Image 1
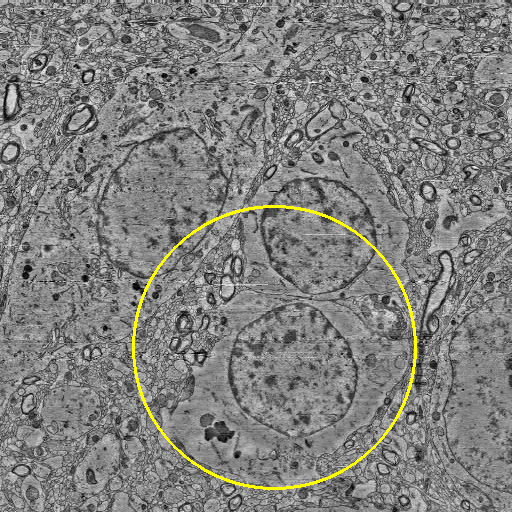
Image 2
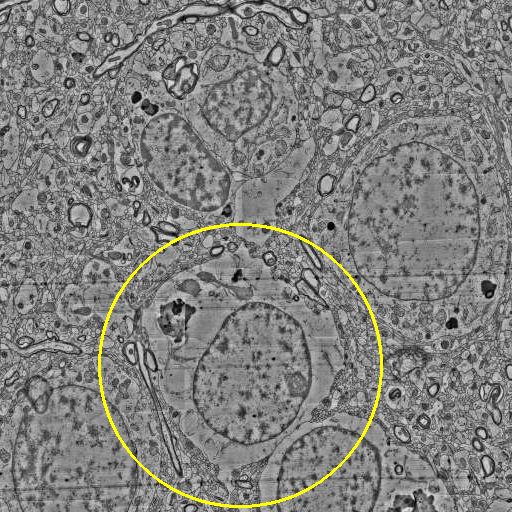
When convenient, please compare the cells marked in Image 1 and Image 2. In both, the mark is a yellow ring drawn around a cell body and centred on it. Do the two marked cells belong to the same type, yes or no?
yes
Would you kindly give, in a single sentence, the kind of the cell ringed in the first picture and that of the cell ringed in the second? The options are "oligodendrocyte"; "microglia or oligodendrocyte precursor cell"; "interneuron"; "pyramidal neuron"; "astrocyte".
In both pictures the ring is centred on an astrocyte.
